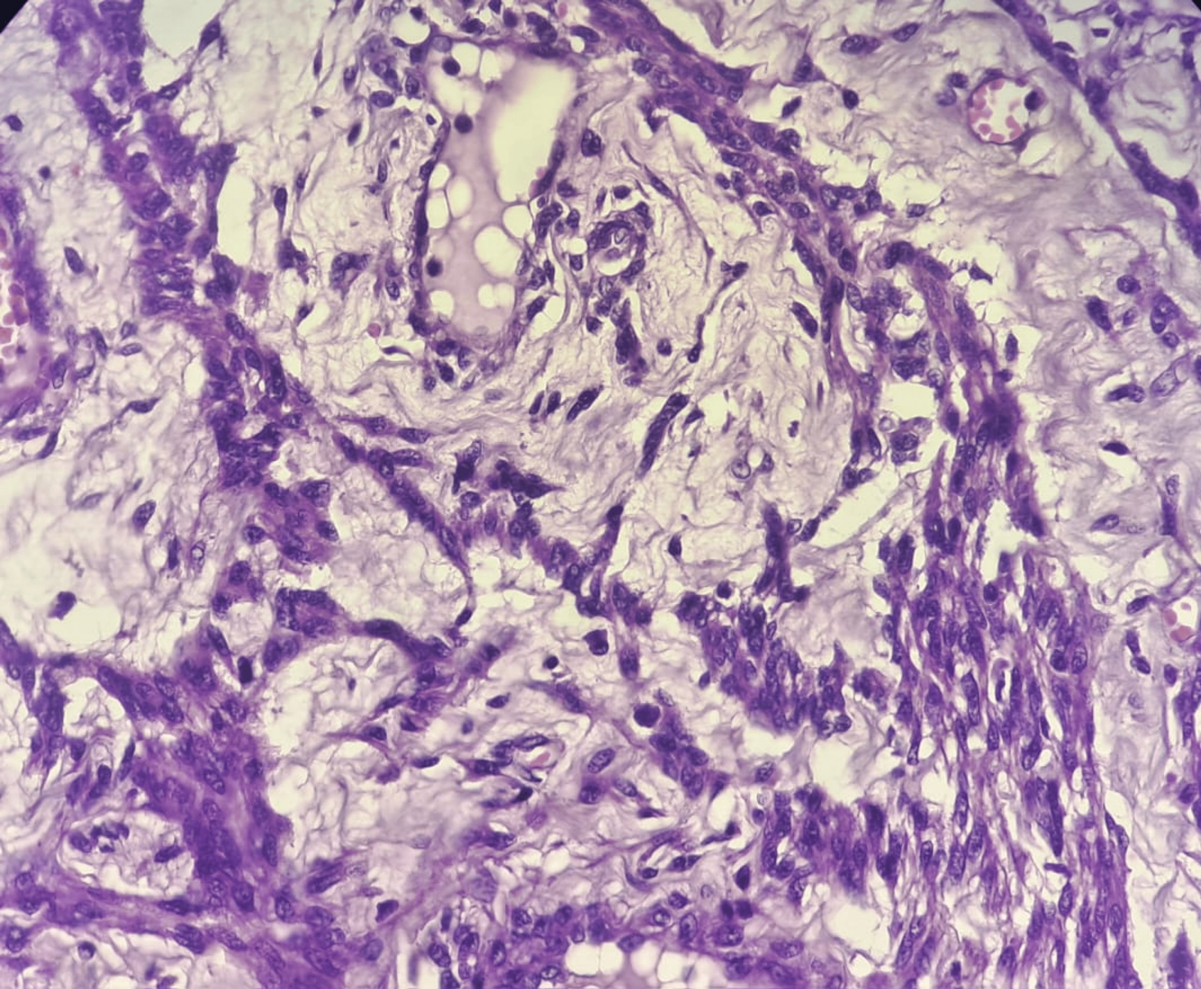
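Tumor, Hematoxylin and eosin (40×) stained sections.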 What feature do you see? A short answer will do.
Cords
